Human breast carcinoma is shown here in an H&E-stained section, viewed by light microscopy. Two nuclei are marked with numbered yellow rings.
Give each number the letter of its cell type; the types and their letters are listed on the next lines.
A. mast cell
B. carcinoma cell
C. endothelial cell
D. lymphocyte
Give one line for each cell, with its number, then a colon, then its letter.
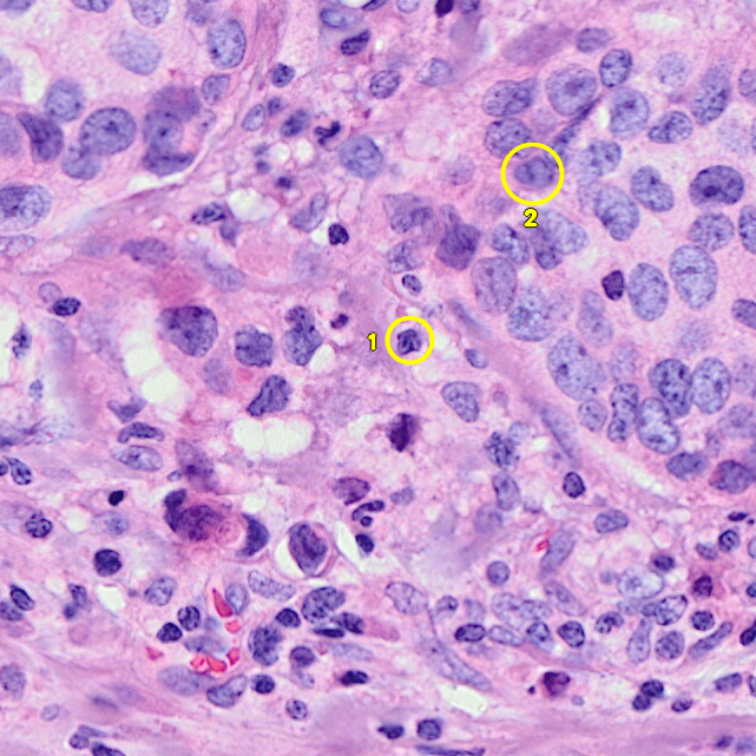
1: D
2: B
